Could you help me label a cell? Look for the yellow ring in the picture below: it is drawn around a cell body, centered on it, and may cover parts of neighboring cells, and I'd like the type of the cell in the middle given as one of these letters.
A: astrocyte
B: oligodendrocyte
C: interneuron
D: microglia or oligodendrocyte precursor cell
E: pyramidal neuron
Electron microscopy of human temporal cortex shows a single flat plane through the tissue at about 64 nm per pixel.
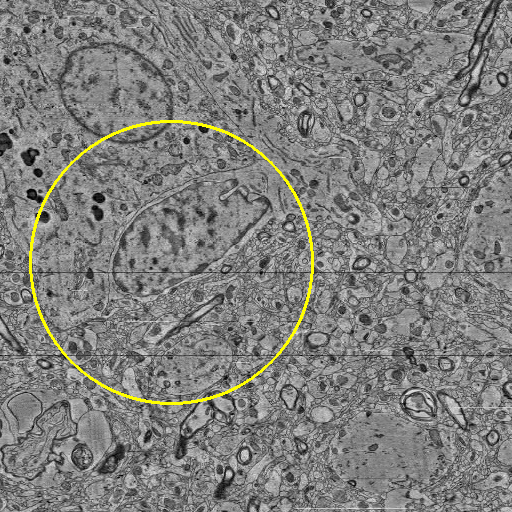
D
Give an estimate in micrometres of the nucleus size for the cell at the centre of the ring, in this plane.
About 10 by 6 micrometres, the nucleus being clearly longer than it is wide in this plane.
